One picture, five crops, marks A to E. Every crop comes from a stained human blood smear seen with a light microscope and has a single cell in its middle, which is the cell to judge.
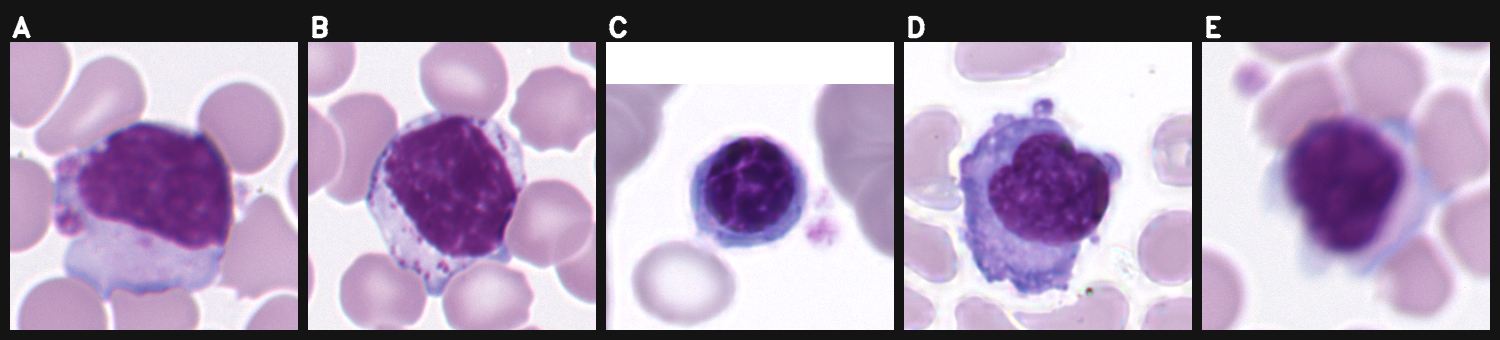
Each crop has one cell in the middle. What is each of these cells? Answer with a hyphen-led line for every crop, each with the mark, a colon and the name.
- A: large granular lymphocyte
- B: large granular lymphocyte
- C: plasma cell
- D: plasma cell
- E: typical lymphocyte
